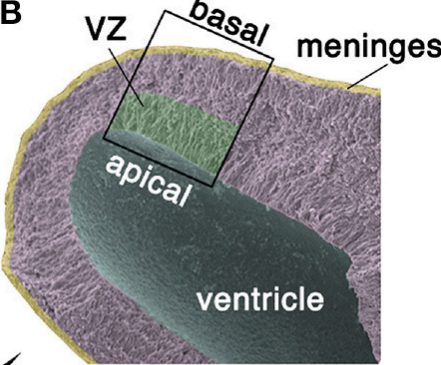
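A thick curved wall of tissue, coloured purple, encloses a large smooth open cavity; its inner face lining the cavity is smooth, and a thin yellow sheet covers its outer face. Within the wall the tissue has a fine radial, fibrous texture running from the inner to the outer surface, and a green-coloured band marks the innermost part next to the cavity.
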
